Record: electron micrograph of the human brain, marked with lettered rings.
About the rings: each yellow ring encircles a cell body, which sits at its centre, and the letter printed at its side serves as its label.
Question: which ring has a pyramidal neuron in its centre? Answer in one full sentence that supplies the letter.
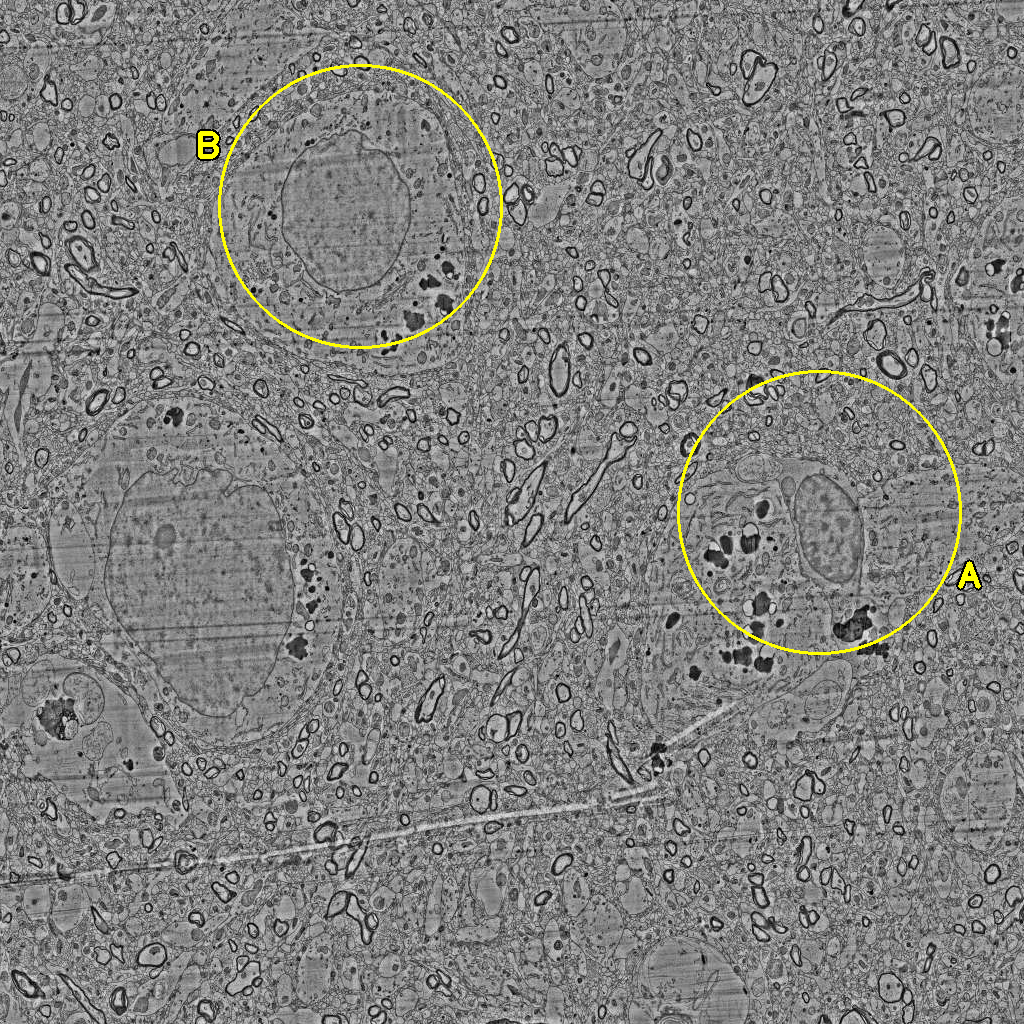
Within the picture, a cell of that kind is centred inside the ring marked B.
